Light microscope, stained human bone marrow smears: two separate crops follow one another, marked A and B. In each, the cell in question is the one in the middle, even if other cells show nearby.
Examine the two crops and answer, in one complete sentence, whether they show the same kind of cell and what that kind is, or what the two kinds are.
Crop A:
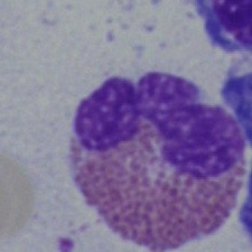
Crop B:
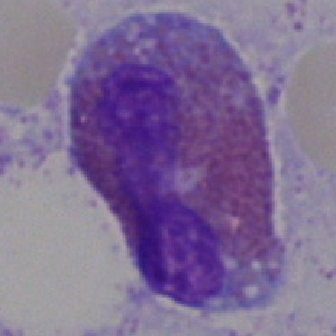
Yes, both crops show eosinophils at their middles.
